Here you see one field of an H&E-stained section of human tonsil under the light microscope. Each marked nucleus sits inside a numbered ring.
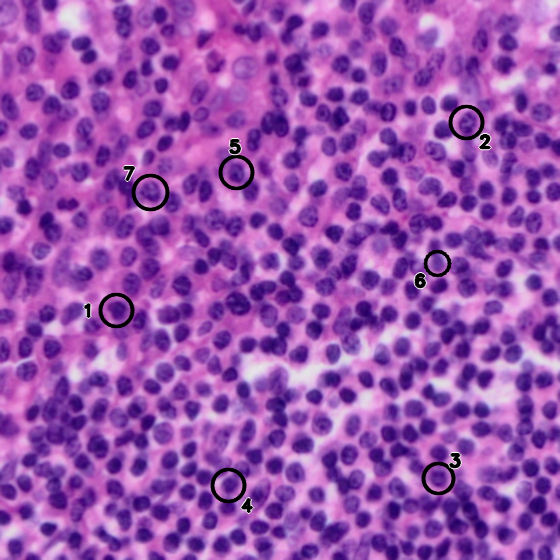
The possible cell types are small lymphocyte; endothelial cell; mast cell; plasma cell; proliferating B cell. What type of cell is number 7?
plasma cell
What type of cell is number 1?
plasma cell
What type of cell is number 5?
plasma cell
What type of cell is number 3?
small lymphocyte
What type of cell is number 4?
small lymphocyte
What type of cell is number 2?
plasma cell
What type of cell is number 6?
small lymphocyte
